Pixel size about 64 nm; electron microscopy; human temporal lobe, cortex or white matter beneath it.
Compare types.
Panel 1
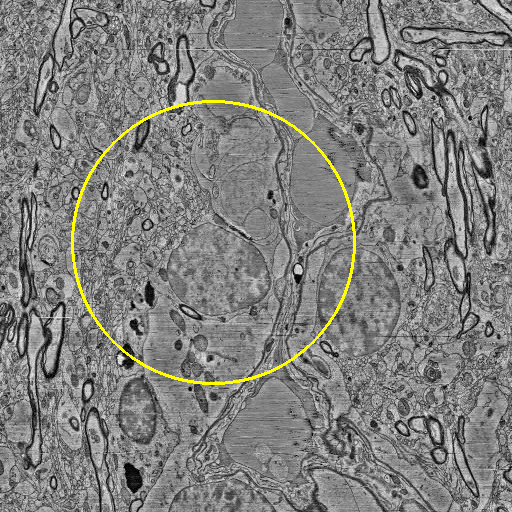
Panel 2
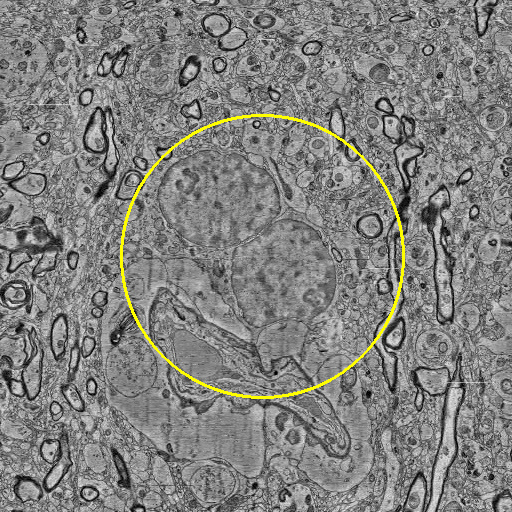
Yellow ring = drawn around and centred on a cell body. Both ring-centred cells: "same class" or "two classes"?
same class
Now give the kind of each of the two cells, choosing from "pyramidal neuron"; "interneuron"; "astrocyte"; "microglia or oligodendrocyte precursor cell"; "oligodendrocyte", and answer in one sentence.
Each of the two cells is an oligodendrocyte.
